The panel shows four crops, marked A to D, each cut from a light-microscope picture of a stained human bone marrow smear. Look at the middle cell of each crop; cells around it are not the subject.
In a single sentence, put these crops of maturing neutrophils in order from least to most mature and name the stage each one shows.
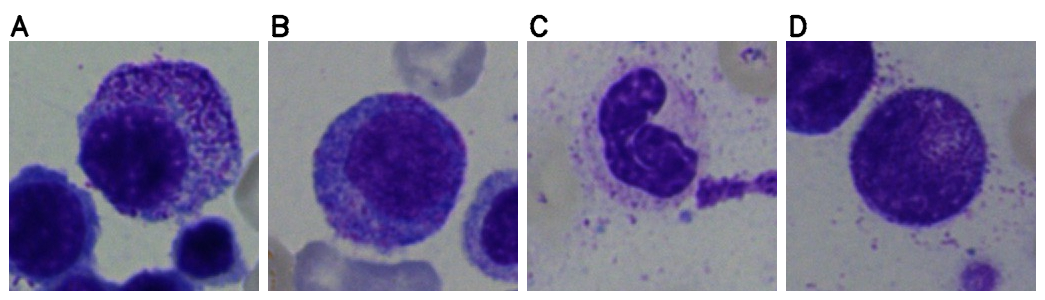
Arranging the cells from least to most mature gives crop B (a promyelocyte), crop A (a myelocyte), crop D (a metamyelocyte) and crop C (a band neutrophil).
